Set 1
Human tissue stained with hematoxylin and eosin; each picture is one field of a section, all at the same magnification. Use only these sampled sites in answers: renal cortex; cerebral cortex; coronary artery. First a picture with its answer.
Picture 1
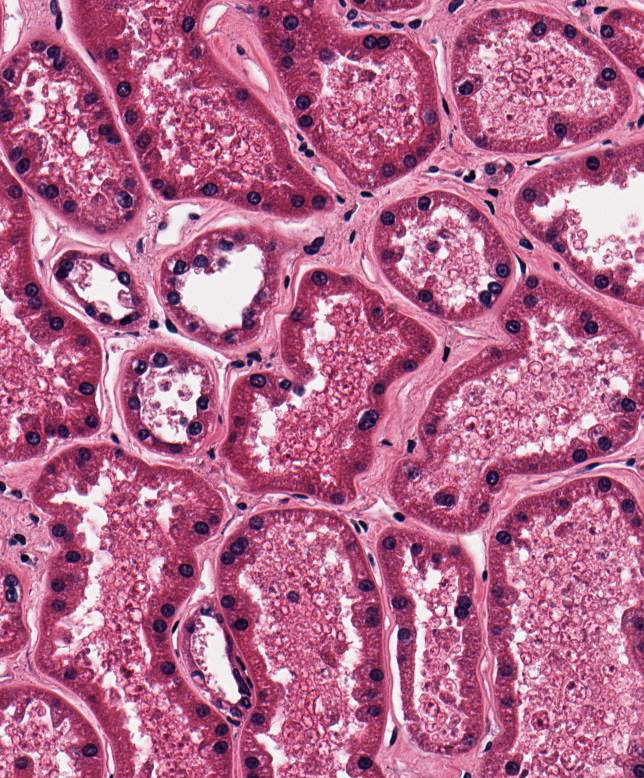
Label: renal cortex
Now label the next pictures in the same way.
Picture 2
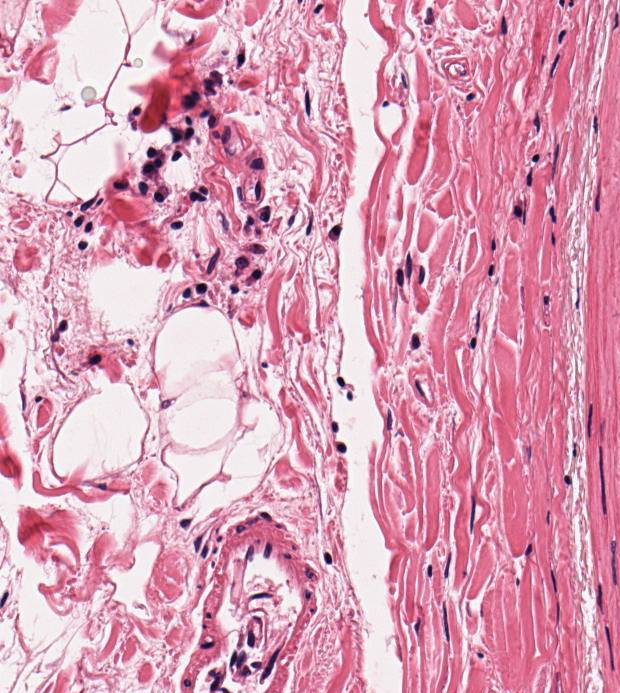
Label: coronary artery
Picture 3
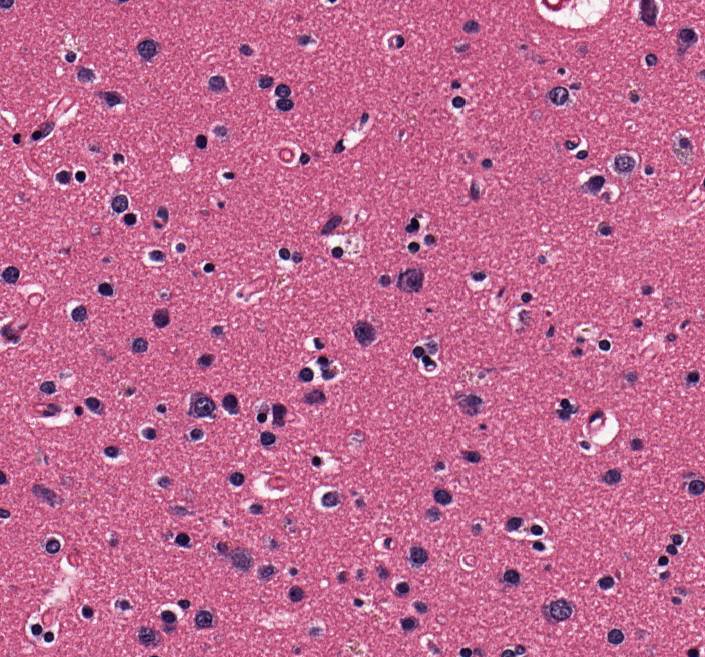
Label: cerebral cortex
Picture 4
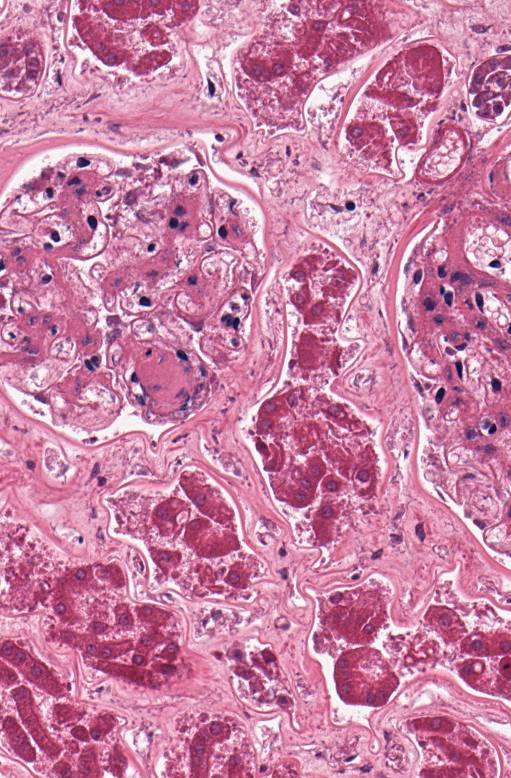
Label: renal cortex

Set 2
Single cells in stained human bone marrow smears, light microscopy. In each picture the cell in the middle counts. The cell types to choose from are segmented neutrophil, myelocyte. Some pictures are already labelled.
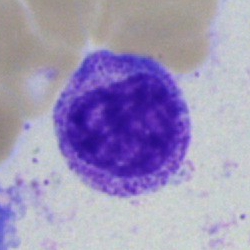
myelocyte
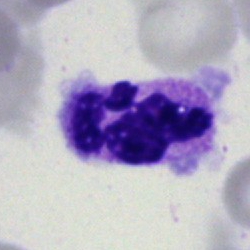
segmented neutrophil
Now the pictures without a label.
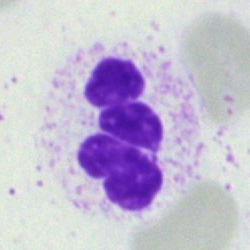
segmented neutrophil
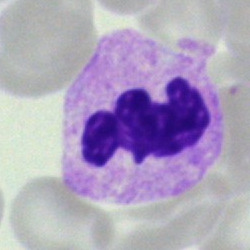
segmented neutrophil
